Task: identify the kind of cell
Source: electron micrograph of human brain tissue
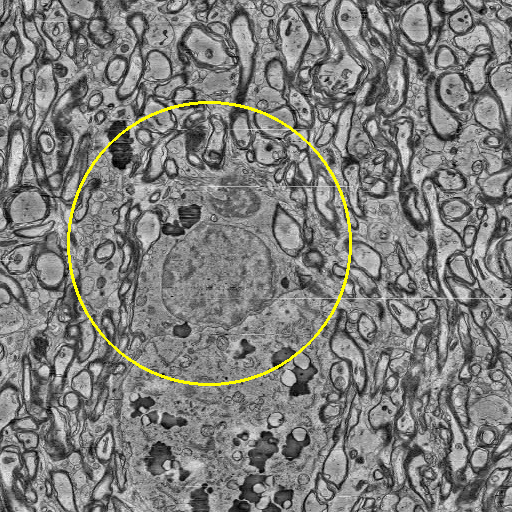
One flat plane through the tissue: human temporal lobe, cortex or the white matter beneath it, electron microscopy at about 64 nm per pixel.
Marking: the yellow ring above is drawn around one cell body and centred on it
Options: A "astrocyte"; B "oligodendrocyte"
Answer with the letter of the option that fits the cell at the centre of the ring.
B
